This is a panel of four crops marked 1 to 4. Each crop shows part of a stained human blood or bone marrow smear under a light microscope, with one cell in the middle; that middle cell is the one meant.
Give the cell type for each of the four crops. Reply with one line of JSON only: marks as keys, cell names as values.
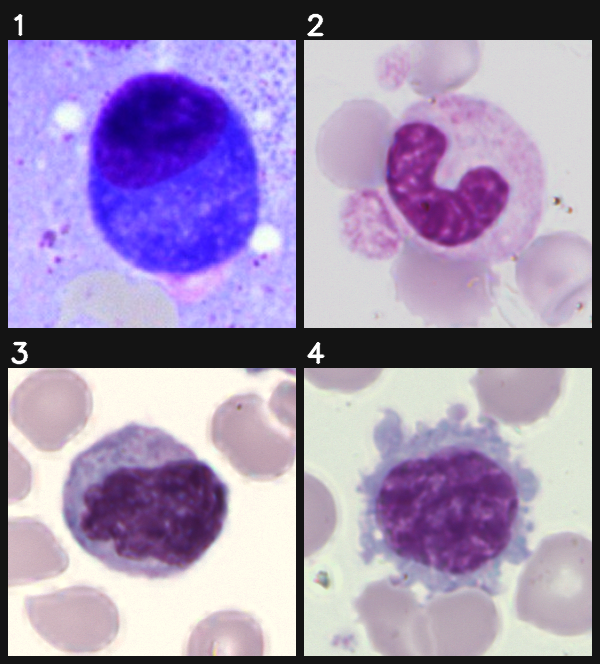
{"1": "plasma cell", "2": "band neutrophil", "3": "plasma cell", "4": "plasma cell"}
